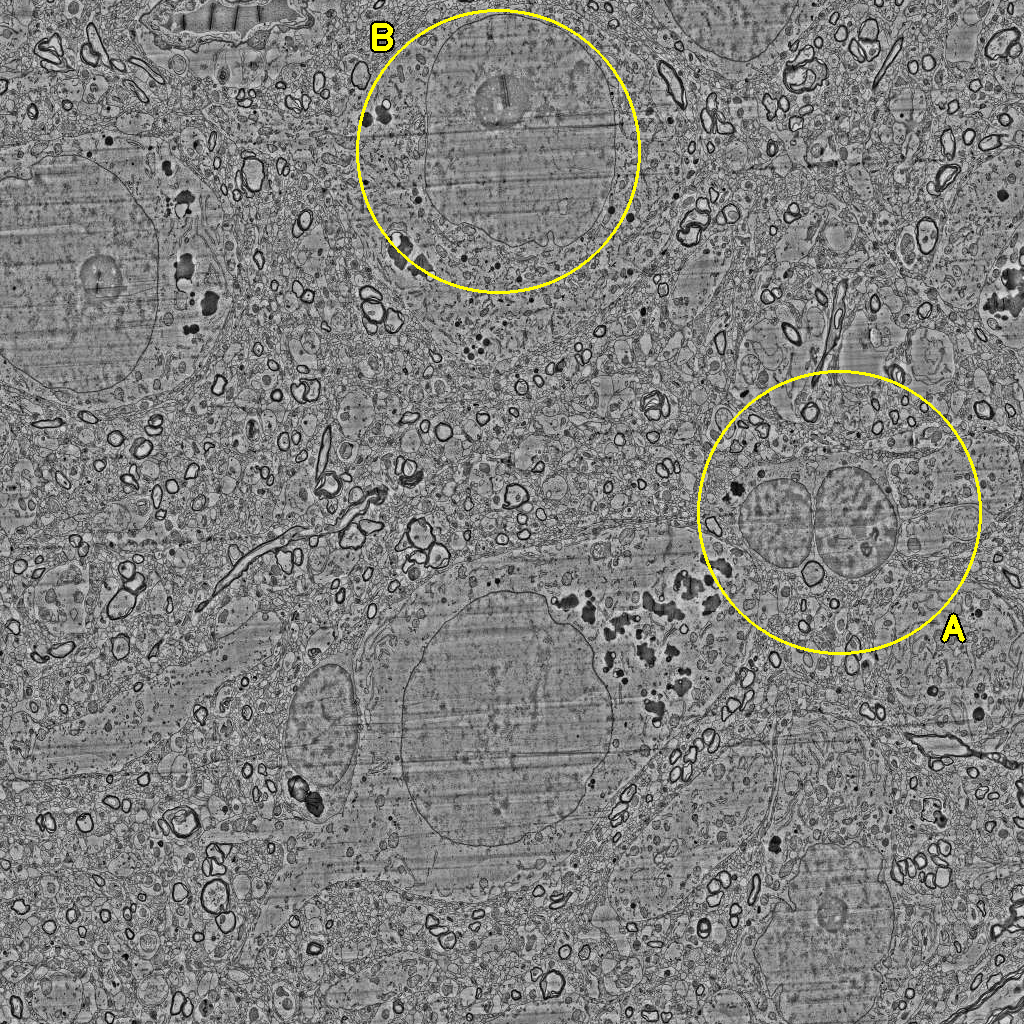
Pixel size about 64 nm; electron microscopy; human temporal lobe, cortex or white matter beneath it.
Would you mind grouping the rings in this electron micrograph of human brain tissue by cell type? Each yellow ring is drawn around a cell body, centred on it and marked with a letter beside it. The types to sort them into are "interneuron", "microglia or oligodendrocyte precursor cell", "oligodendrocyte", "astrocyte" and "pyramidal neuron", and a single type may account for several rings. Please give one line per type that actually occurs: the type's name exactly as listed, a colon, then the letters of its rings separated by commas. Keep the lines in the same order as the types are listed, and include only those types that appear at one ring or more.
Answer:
oligodendrocyte: A
pyramidal neuron: B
